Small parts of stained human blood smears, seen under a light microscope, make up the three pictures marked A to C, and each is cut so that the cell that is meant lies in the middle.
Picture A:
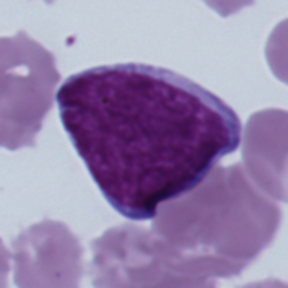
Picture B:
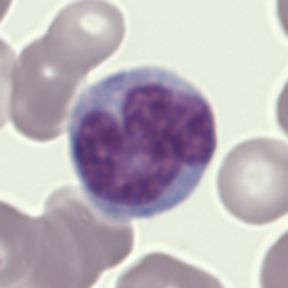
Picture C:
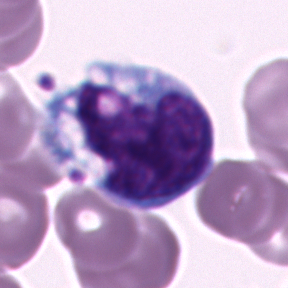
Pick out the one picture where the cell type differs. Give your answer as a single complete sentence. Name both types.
Picture A differs, because its cell is a myeloblast and the rest are monocytes.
